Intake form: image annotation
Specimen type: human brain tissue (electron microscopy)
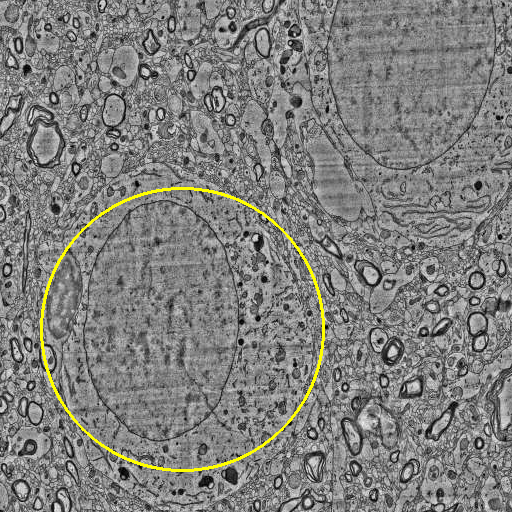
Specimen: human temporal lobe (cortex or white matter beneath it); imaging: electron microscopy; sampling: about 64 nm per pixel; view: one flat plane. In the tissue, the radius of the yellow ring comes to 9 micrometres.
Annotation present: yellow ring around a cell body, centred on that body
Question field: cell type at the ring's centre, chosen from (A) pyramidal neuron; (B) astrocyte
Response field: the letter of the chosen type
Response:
A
